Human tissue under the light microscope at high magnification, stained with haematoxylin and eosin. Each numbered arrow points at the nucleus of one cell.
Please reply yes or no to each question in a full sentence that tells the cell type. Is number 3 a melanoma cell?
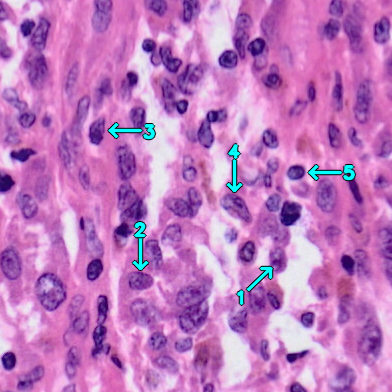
No. Cell number 3 is a lymphocyte, not a melanoma cell.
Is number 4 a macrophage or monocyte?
Yes, the cell tagged with number 4 is a macrophage or monocyte.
